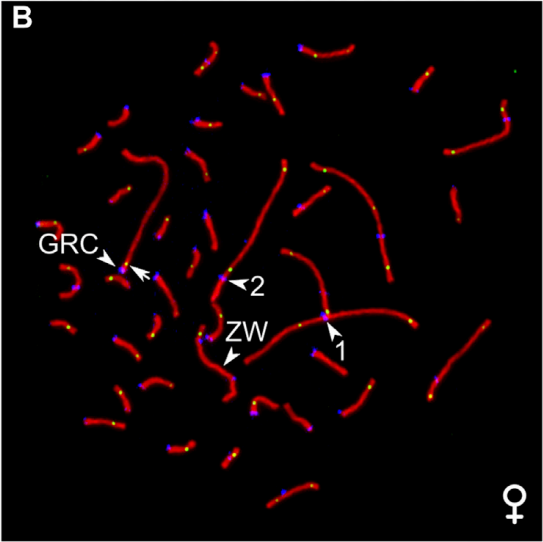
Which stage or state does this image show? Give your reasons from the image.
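Chromosomes appear as continuous single red threads. Each thread has one blue dot and one or more green foci. So: Pachytene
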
